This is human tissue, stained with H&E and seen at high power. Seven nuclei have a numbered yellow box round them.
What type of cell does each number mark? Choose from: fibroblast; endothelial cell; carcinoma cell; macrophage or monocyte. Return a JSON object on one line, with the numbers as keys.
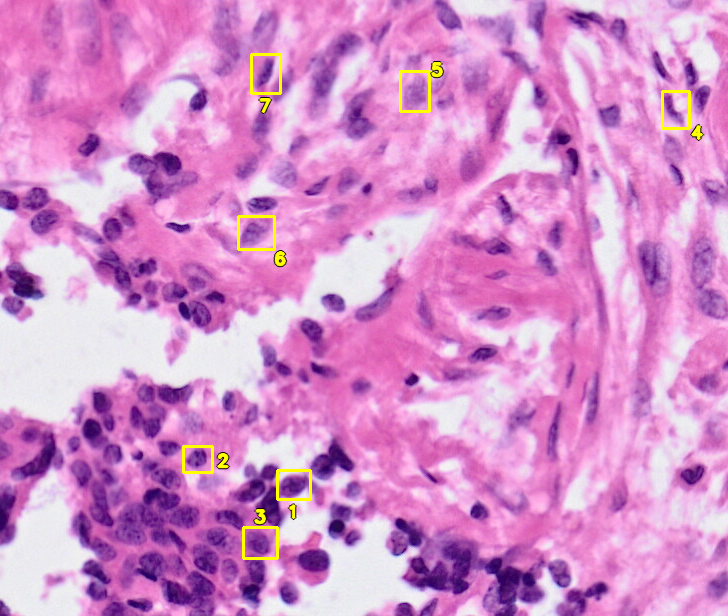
{"1": "carcinoma cell", "2": "macrophage or monocyte", "3": "carcinoma cell", "4": "fibroblast", "5": "fibroblast", "6": "fibroblast", "7": "fibroblast"}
